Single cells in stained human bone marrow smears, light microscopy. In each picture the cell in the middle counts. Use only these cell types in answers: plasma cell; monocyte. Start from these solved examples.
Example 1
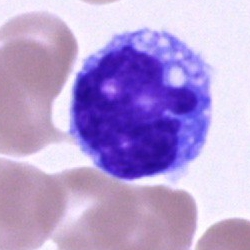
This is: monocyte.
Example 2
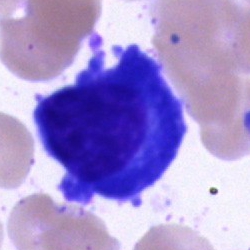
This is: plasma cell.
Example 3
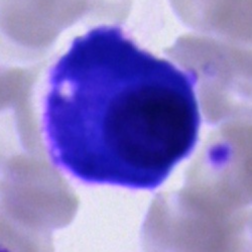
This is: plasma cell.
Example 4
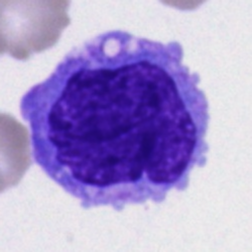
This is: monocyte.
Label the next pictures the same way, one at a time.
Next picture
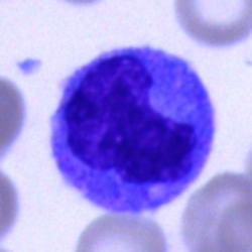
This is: monocyte.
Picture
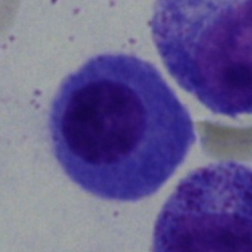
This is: plasma cell.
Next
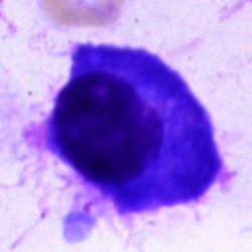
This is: plasma cell.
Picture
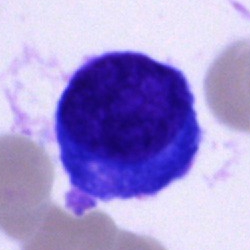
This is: plasma cell.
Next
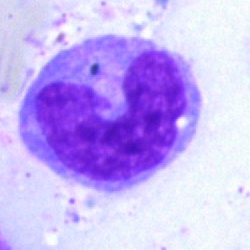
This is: monocyte.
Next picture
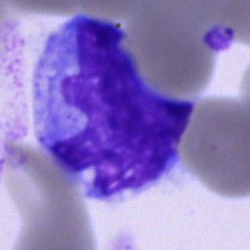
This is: monocyte.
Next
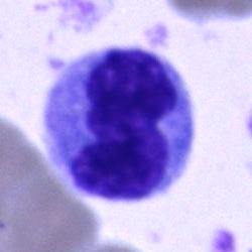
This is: monocyte.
